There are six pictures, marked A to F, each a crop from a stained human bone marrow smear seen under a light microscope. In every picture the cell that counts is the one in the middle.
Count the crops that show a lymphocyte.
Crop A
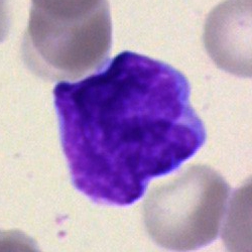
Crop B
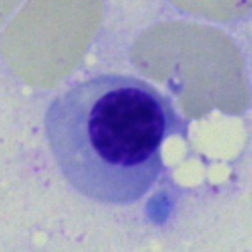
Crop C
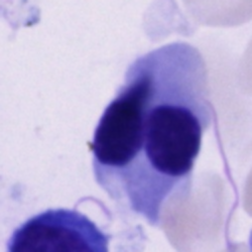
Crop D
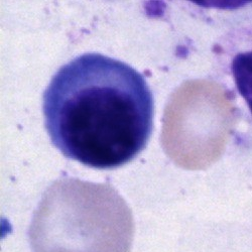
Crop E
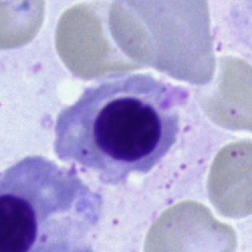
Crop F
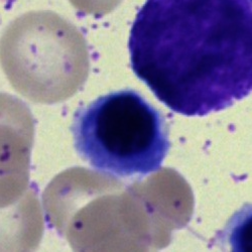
0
